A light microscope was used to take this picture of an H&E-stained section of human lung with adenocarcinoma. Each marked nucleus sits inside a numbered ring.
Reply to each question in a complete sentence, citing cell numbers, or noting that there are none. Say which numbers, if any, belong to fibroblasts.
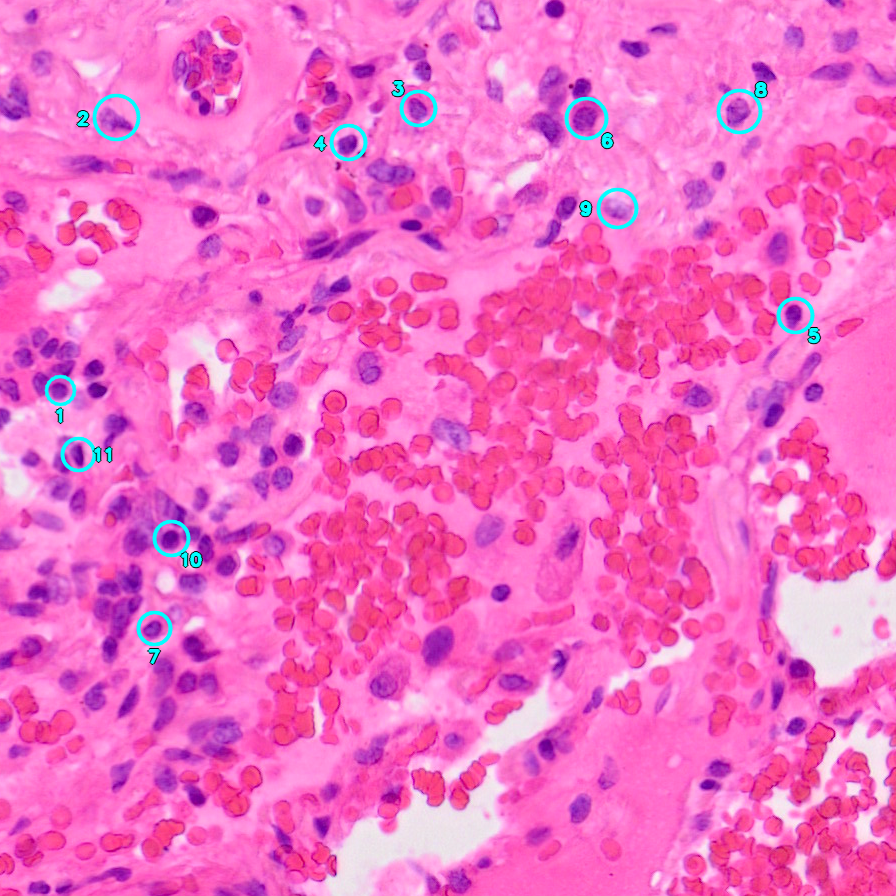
The cells tagged 2, 8 and 9 are fibroblasts in this tissue section.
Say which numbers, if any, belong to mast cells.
The cells identified by the numbers 3 and 7 are mast cells.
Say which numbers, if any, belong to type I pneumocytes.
There is just one numbered cell that is a type I pneumocyte, and it is cell 5.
